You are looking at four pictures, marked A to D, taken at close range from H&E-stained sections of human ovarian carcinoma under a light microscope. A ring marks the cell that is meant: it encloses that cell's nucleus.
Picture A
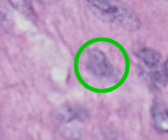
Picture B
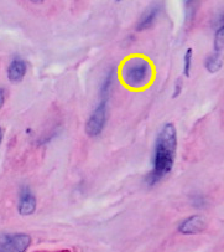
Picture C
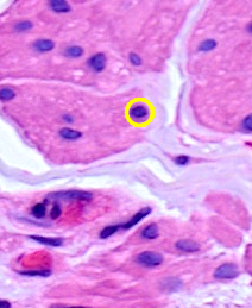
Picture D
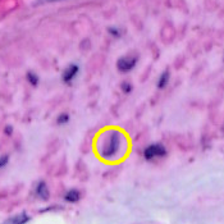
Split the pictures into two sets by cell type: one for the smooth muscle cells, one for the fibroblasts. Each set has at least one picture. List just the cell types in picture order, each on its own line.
fibroblast
smooth muscle cell
smooth muscle cell
smooth muscle cell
